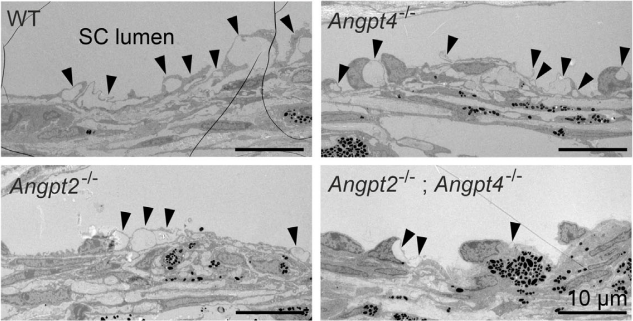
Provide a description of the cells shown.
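These electron micrographs show the inner wall endothelium lining a wide, empty canal lumen. The endothelial cells are thin and flattened, forming a delicate layer along the edge of the lumen. Along this lining, rounded clear outpouchings bulge from the cells into the lumen, each bounded by a thin rim of cytoplasm. Beneath the endothelium lie several layers of elongated cells and their processes, some containing clusters of black electron-dense granules. The number of outpouchings along the lining differs between the four images, with the lower right image showing only a few.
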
